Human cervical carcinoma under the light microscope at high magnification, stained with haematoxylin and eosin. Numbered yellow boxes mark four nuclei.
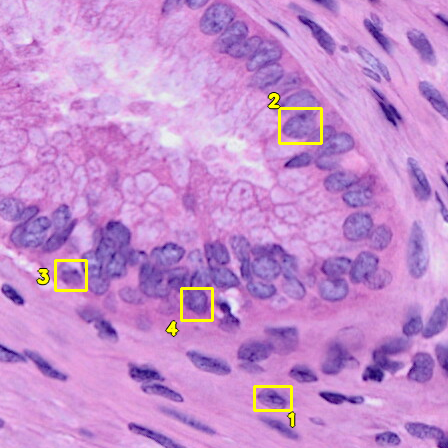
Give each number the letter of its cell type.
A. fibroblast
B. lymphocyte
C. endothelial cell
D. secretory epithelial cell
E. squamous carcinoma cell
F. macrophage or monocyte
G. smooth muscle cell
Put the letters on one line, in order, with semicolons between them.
A; D; D; D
